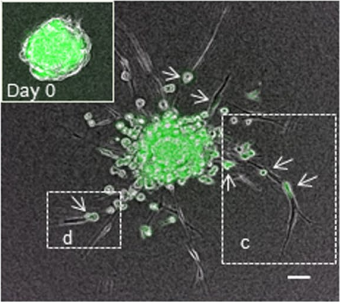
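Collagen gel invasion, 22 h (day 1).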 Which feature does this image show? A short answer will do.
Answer: Spheroid.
